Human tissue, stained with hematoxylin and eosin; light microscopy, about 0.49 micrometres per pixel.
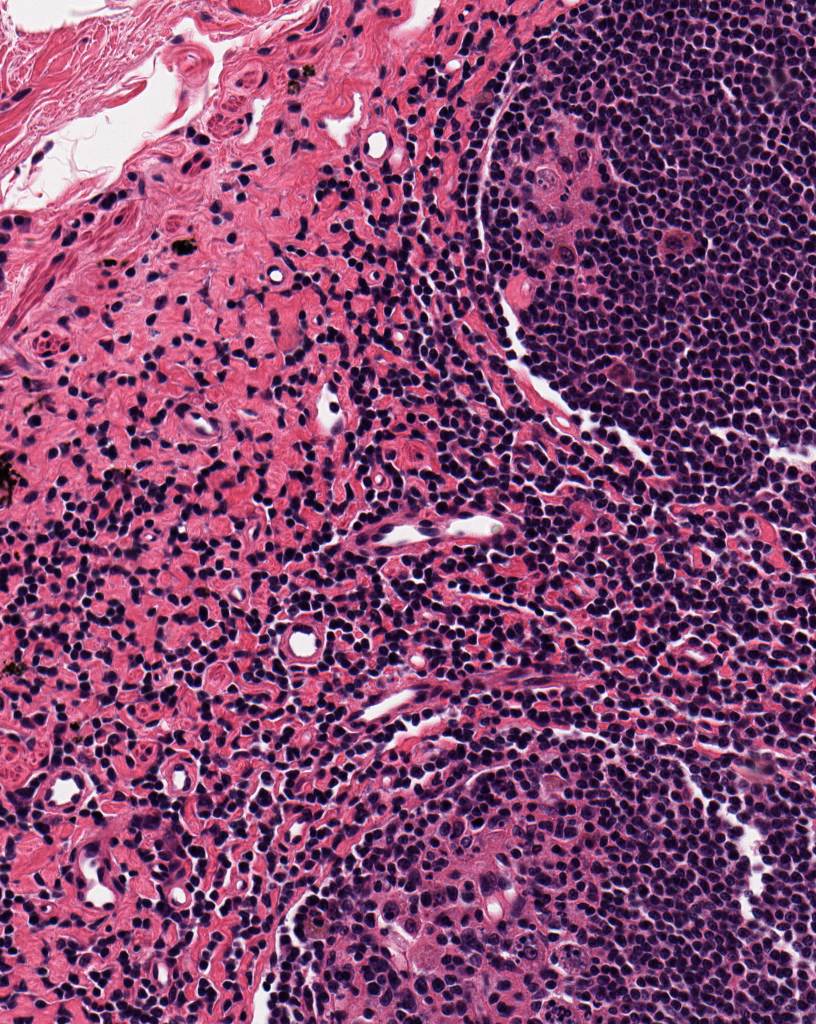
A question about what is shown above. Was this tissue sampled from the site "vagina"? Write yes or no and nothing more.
no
